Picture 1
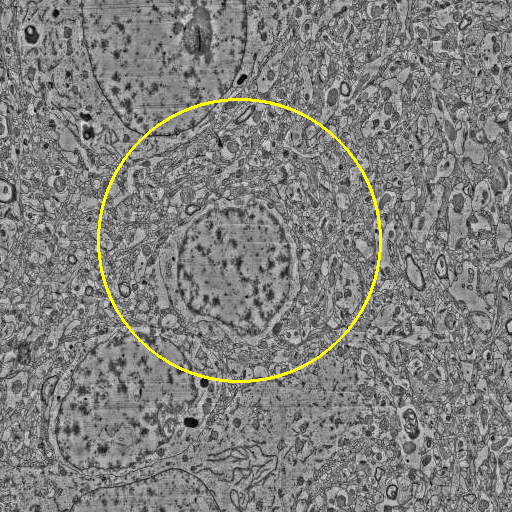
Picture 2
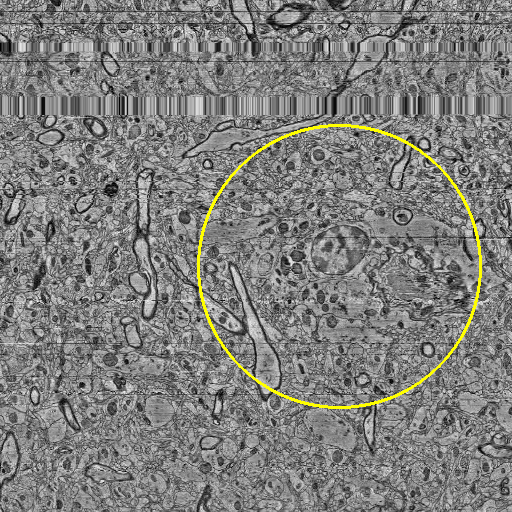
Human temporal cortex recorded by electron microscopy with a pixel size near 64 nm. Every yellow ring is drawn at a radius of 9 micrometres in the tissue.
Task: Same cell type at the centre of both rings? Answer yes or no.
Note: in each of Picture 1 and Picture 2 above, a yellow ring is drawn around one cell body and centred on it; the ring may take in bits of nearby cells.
no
